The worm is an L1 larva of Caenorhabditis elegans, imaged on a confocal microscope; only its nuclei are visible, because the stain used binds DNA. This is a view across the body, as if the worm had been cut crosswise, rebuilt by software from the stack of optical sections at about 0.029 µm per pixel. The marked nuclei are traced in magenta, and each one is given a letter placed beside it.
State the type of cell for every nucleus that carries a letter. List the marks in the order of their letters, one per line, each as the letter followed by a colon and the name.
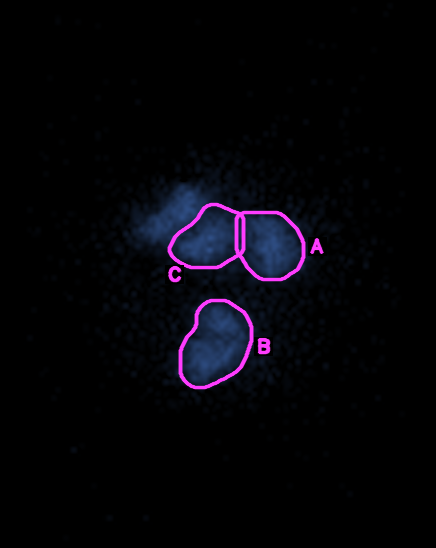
A: enteric muscle cell
B: intestinal cell
C: intestinal cell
